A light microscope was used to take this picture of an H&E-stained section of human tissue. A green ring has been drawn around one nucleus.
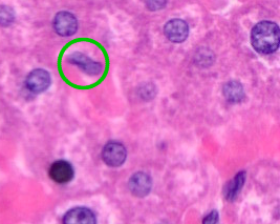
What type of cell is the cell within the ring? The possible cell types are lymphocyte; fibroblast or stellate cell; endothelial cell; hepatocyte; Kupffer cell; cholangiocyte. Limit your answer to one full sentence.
Cell type answer for this item: the cell within the ring is a Kupffer cell.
